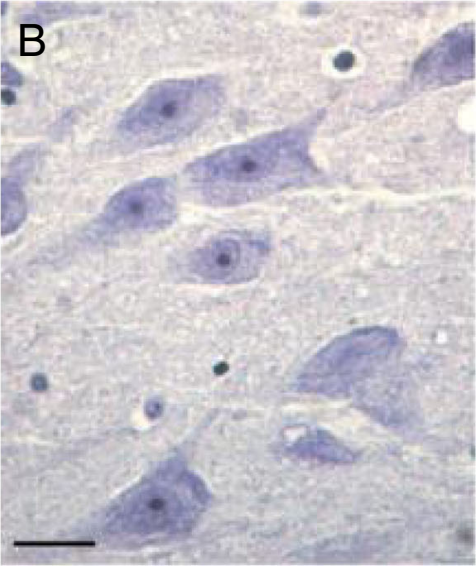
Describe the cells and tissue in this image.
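These are large neurons in brain tissue, stained only in shades of blue. Small round dark nuclei of other cells are scattered in the pale background between them. No brown deposits are seen in any of the neurons.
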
